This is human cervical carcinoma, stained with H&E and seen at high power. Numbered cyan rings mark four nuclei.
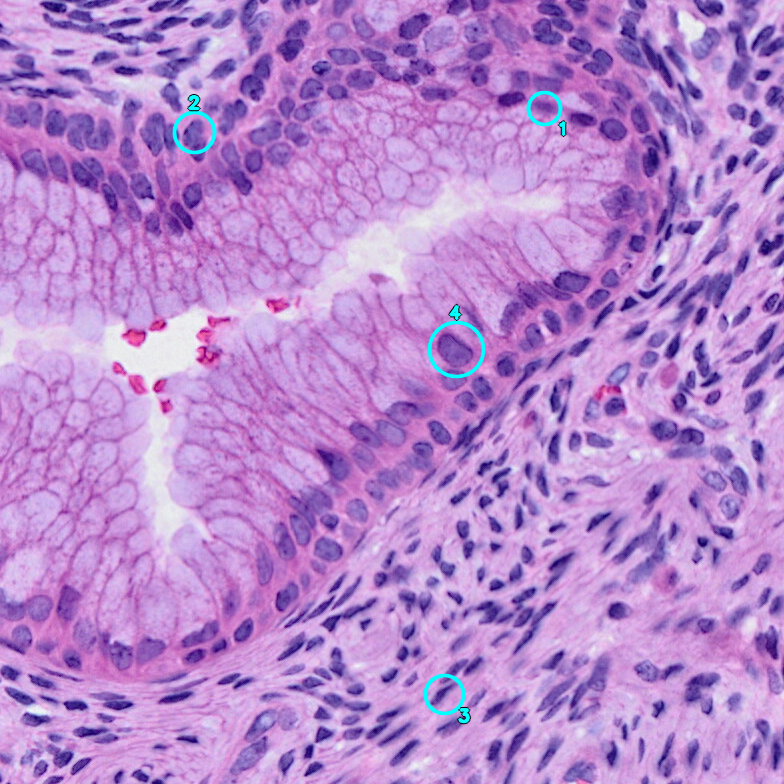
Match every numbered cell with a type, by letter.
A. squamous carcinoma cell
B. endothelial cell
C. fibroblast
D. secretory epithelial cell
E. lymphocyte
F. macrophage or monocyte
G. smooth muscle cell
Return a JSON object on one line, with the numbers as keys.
{"1": "D", "2": "D", "3": "C", "4": "D"}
